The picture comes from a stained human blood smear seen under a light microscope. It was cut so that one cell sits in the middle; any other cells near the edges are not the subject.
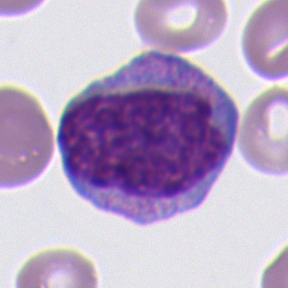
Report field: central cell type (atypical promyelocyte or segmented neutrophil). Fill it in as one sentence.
For this crop, the cell in the middle is an atypical promyelocyte.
